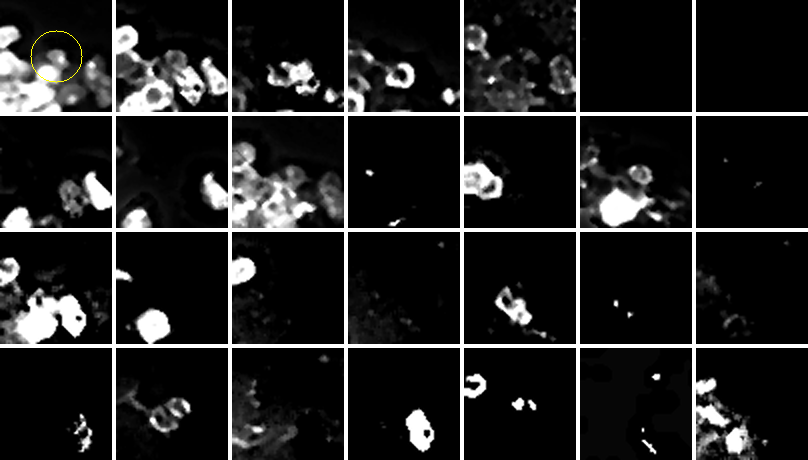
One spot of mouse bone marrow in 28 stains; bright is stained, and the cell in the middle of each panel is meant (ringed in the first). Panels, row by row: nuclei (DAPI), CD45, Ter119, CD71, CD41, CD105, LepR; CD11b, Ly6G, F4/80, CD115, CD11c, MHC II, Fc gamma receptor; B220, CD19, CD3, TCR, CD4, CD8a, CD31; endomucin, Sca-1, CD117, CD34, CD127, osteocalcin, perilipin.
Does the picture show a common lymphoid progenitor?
Yes.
